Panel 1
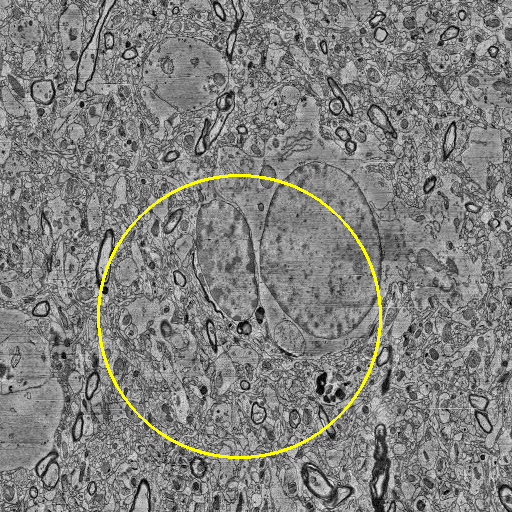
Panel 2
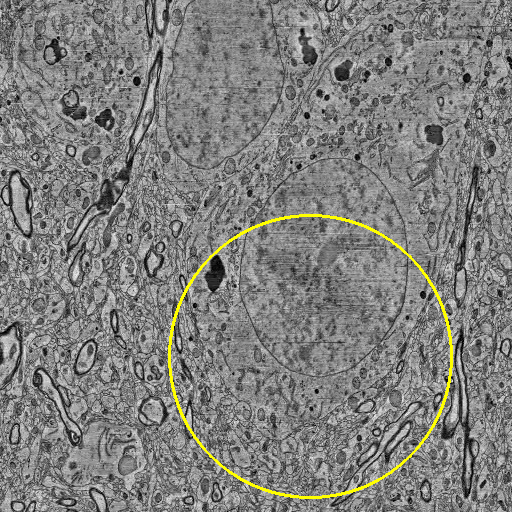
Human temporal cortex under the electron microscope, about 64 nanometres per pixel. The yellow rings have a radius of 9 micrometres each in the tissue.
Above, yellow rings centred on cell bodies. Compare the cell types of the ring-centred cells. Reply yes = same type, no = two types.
no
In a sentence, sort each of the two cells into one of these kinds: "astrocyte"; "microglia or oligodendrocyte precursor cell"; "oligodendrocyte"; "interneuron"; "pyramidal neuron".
The first of the two cells is a microglial cell or oligodendrocyte precursor cell, and the second is a pyramidal neuron.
